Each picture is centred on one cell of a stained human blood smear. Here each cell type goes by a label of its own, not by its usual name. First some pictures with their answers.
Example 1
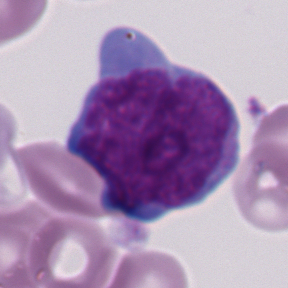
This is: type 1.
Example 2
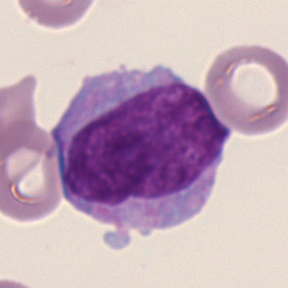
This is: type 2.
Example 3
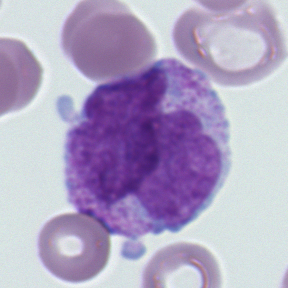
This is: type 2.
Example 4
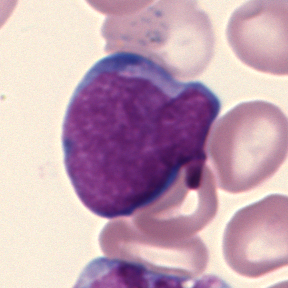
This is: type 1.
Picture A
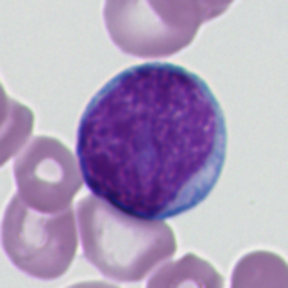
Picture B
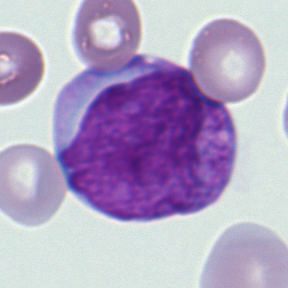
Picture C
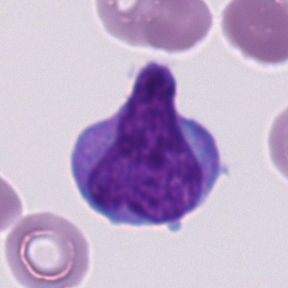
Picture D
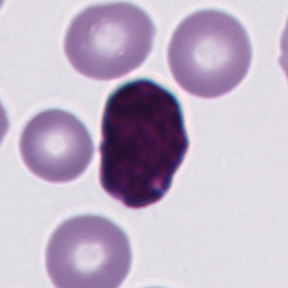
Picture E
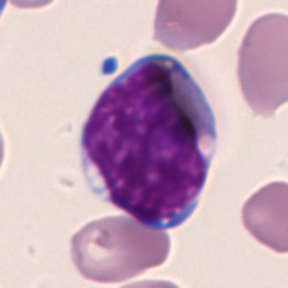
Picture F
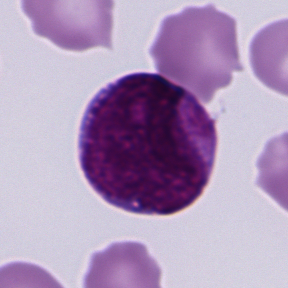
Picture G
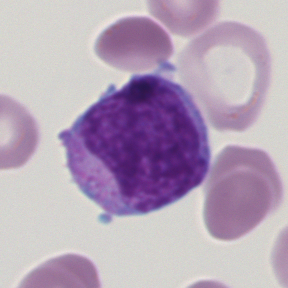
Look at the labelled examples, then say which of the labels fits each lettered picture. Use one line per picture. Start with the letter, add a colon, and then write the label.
A: type 1.
B: type 2.
C: type 2.
D: type 1.
E: type 1.
F: type 1.
G: type 2.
